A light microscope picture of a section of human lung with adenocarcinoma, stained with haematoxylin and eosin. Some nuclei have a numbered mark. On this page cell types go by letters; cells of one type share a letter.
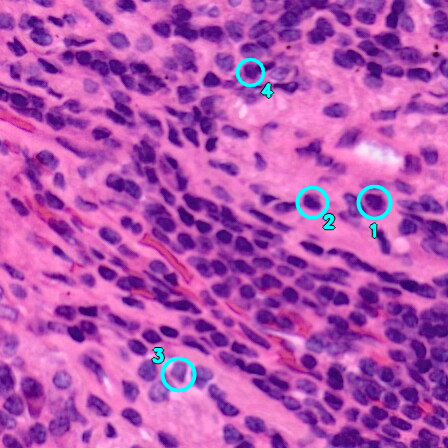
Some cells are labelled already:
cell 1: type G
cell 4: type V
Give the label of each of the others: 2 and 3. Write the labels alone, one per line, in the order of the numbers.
type V
type V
